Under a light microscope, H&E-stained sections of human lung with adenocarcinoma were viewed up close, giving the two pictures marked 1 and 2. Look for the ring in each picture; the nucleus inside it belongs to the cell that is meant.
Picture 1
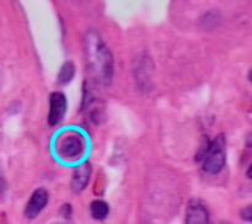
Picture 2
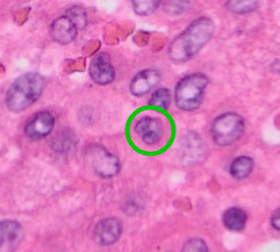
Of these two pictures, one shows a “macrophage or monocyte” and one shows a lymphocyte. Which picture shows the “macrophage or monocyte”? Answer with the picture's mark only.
2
